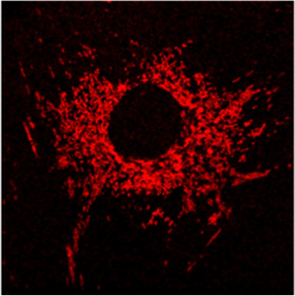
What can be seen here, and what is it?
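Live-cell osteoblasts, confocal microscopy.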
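The nucleus shows as a dark, round, unlabelled area near the middle of the cell. The red threads and granules crowd most thickly around the nucleus and thin out towards the cell edges. At the periphery, some elements are longer and thread-like, and they run outward along the cell's extensions. The background outside the cell is dark.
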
